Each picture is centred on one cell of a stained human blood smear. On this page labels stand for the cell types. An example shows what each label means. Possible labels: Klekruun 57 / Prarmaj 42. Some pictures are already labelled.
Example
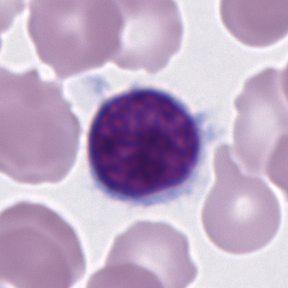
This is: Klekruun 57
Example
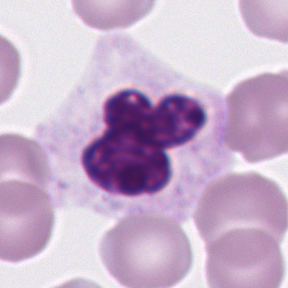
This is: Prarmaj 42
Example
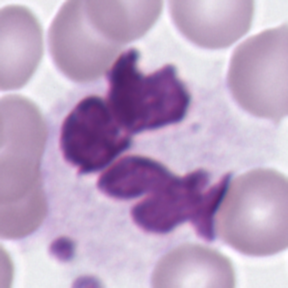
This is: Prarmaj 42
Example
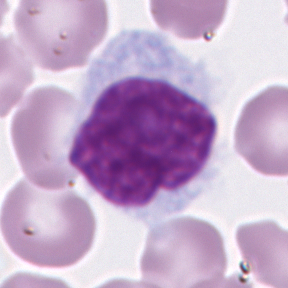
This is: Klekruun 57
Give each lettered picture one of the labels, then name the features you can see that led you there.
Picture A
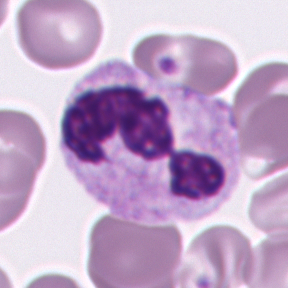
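Prarmaj 42: The cytoplasm is plentiful and pale pinkish-lilac.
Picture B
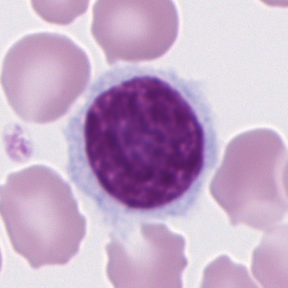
Klekruun 57: A narrow rim of pale blue cytoplasm surrounds the nucleus.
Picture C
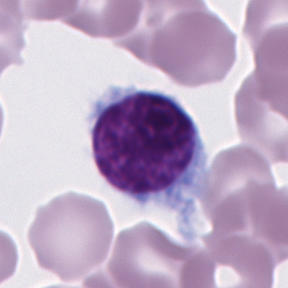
Klekruun 57: The cytoplasm is scant and reaches furthest from the nucleus at the lower right.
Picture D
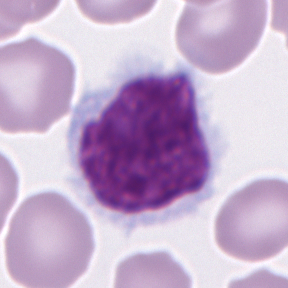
Klekruun 57: The cytoplasm forms only a narrow rim around the nucleus.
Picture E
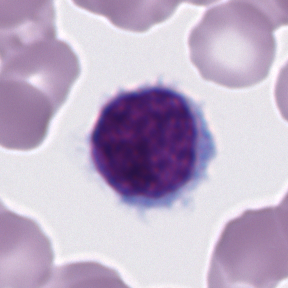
Klekruun 57: The cytoplasm forms a thin rim that is widest on the right side of the cell.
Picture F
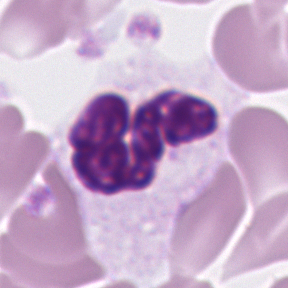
Prarmaj 42: The cytoplasm is abundant and very pale lilac.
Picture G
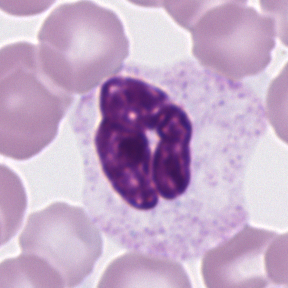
Prarmaj 42: The cytoplasm is abundant and pale pinkish-lilac.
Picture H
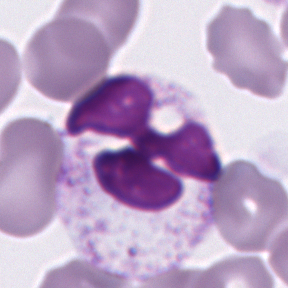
Prarmaj 42: The nucleus is divided into three distinct lobes.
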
